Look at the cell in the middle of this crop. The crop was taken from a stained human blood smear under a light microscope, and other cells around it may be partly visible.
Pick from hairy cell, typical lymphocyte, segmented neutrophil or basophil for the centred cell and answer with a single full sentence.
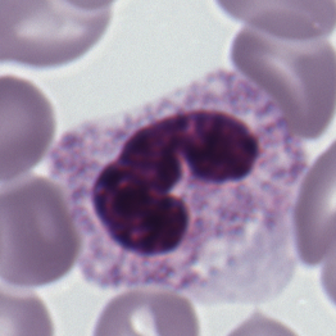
In the centre of this crop there is a segmented neutrophil.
